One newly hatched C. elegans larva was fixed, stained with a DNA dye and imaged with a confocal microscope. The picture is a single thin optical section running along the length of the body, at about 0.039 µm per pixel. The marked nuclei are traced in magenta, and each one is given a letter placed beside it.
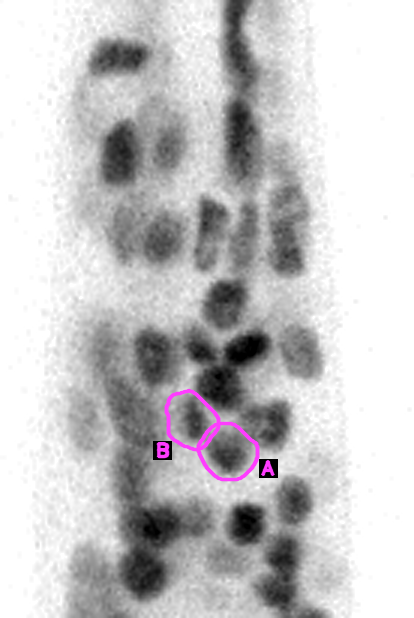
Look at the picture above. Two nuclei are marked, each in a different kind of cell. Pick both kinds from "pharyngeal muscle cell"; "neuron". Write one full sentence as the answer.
One is from a neuron, namely A, and the other, B, is from a pharyngeal muscle cell.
